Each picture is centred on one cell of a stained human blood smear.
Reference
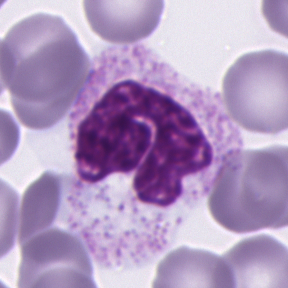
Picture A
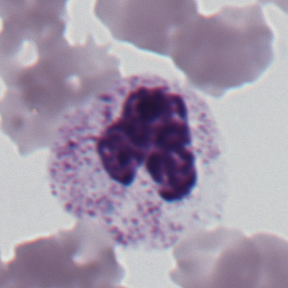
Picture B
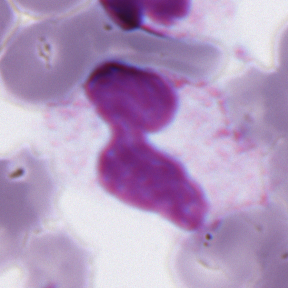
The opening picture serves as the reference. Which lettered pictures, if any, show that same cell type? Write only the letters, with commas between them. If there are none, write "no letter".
A, B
